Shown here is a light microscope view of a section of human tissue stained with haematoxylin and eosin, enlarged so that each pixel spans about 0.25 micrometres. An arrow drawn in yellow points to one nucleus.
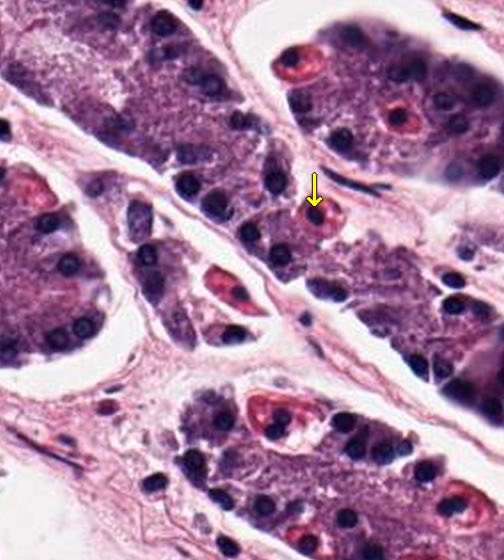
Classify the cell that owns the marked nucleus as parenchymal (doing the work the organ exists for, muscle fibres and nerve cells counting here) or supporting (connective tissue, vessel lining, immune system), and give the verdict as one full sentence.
In the section shown, the marked nucleus belongs to a parenchymal cell, namely a parietal cell.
